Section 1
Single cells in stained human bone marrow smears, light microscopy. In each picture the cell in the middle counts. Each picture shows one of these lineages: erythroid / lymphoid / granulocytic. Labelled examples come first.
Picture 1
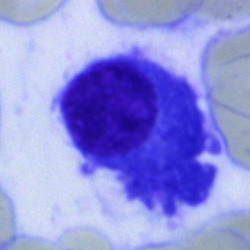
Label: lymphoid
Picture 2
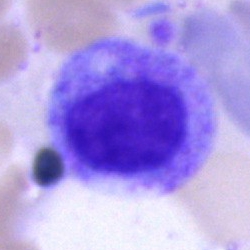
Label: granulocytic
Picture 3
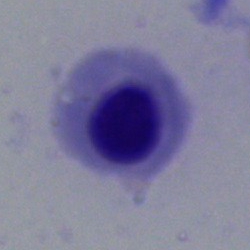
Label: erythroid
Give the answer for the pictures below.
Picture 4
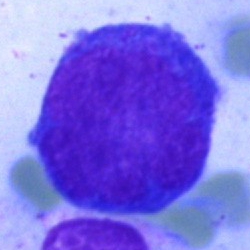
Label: erythroid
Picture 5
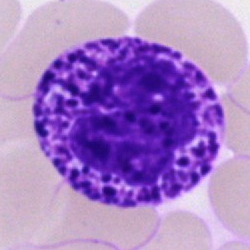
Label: granulocytic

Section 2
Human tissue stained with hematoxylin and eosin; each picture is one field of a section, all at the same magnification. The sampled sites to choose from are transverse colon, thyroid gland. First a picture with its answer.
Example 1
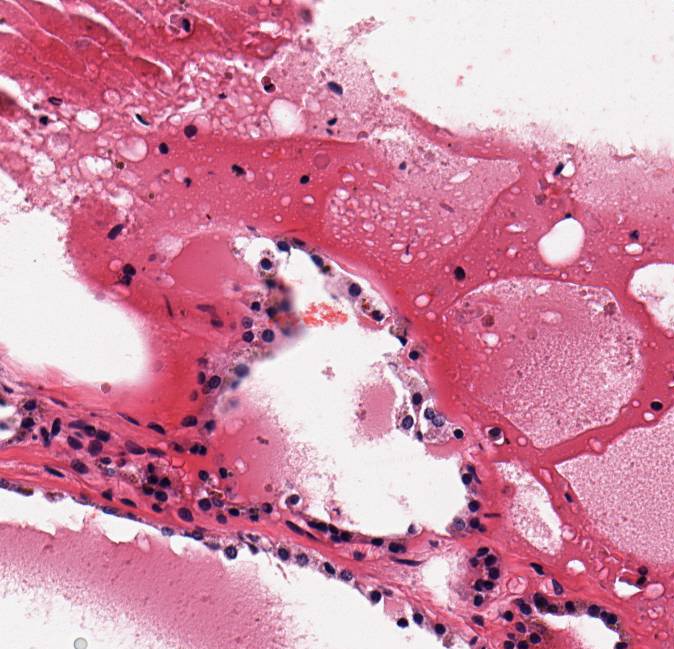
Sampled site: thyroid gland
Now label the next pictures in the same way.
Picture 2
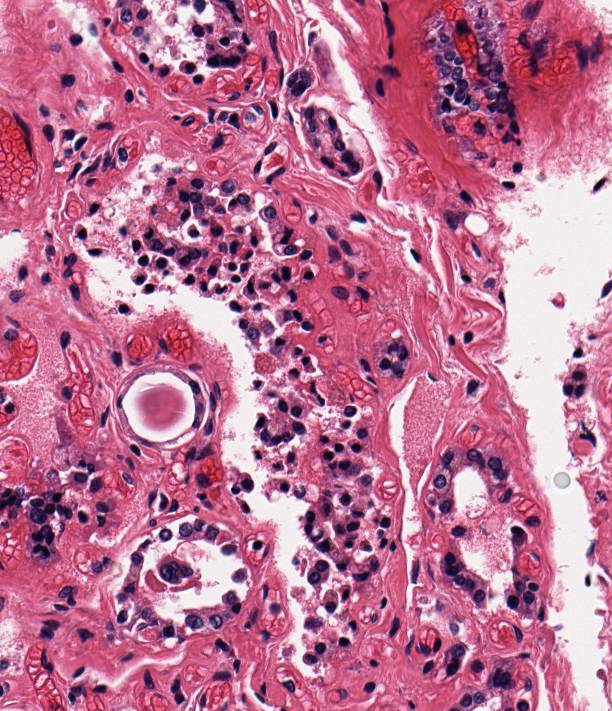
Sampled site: thyroid gland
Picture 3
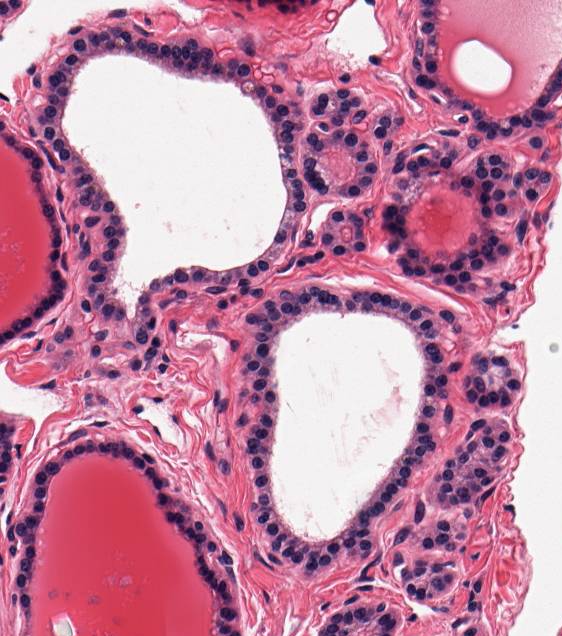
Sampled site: thyroid gland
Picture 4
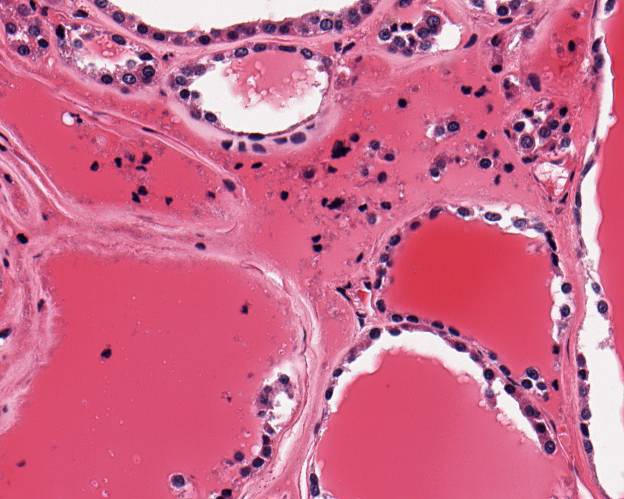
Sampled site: thyroid gland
